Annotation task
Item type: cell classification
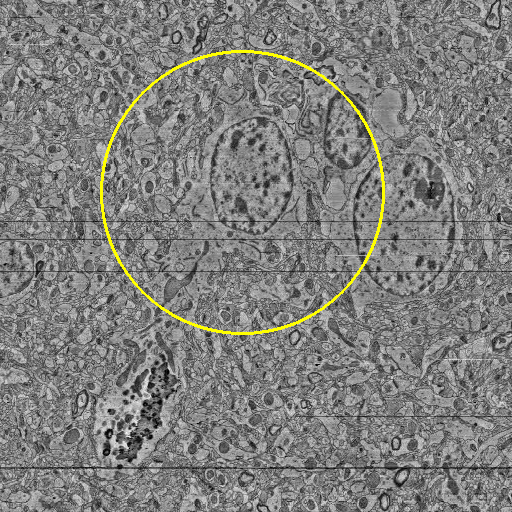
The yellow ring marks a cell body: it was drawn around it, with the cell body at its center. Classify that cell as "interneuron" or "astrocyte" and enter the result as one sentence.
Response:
The ring's center falls on an astrocyte.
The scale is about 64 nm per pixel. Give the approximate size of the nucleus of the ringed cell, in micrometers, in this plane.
About 8 by 5 micrometers, in this plane.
